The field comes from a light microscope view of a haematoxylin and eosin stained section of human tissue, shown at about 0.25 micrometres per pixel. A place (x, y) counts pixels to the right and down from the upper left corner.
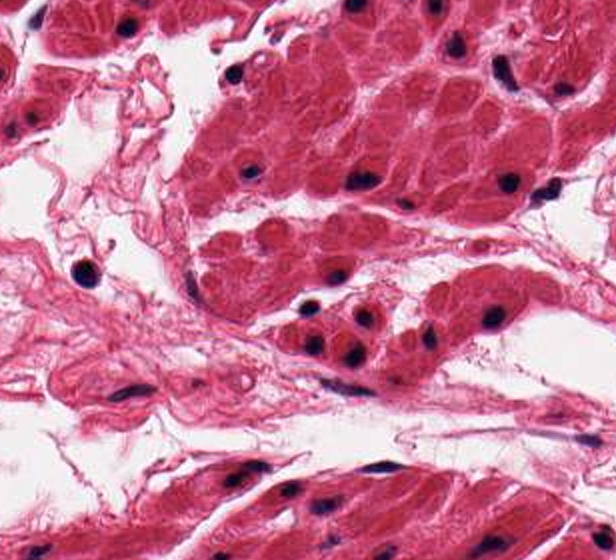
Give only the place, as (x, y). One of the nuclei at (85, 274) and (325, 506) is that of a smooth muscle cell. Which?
(325, 506)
